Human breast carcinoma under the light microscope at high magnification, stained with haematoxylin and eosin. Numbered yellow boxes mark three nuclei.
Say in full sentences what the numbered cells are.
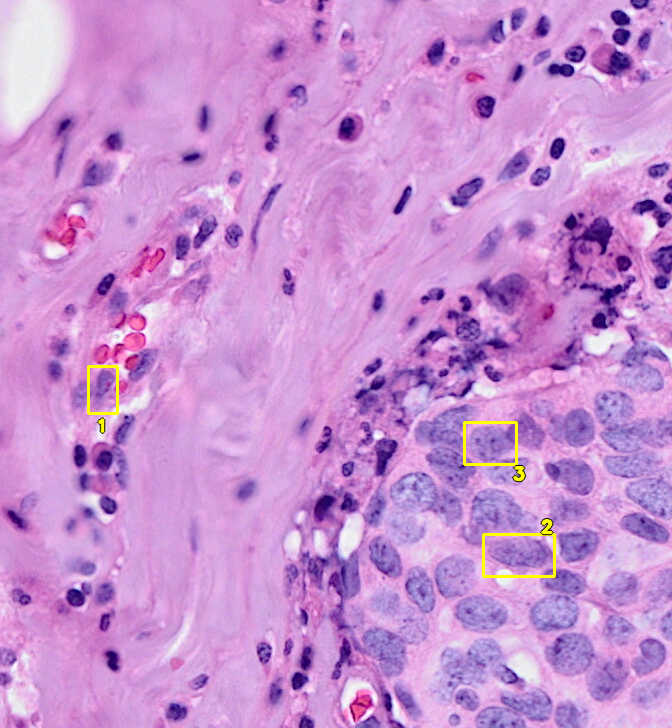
Cell 1 is an endothelial cell, cell 2 is a carcinoma cell and cell 3 is a carcinoma cell.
